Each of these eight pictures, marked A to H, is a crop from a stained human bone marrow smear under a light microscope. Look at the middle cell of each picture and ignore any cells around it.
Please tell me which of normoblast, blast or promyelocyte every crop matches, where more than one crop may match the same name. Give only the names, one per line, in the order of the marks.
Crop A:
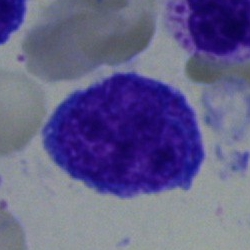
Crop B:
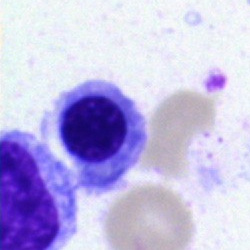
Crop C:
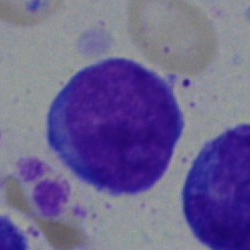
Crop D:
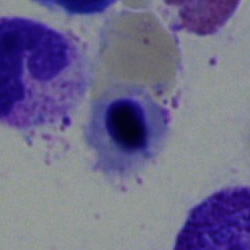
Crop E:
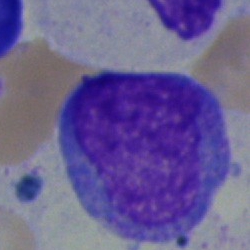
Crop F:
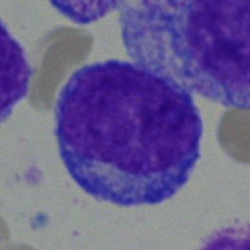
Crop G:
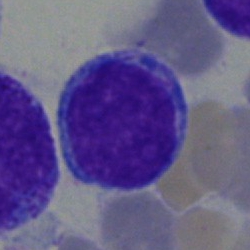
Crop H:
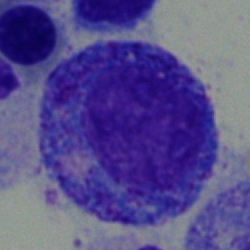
blast
normoblast
blast
normoblast
blast
blast
blast
promyelocyte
